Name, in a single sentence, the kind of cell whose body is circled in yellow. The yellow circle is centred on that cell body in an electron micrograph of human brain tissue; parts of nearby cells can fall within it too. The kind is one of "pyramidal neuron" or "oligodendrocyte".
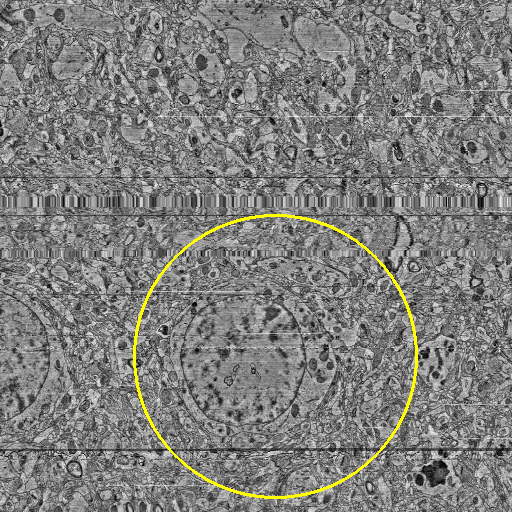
The circled cell body belongs to a pyramidal neuron.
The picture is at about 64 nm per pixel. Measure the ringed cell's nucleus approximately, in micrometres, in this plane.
About 9 micrometres across in this plane.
